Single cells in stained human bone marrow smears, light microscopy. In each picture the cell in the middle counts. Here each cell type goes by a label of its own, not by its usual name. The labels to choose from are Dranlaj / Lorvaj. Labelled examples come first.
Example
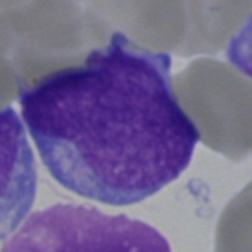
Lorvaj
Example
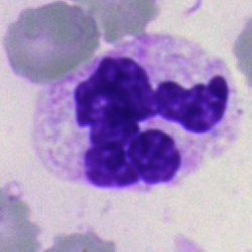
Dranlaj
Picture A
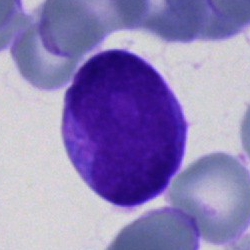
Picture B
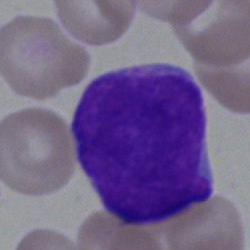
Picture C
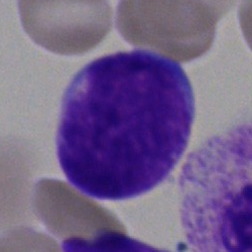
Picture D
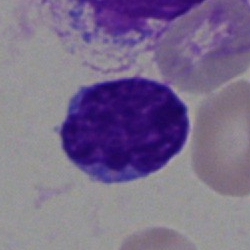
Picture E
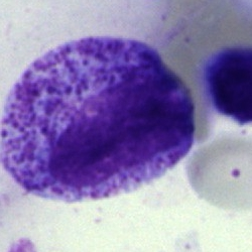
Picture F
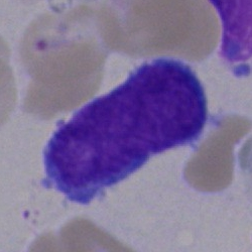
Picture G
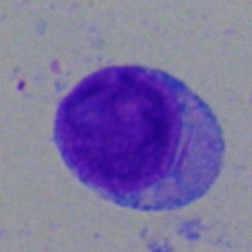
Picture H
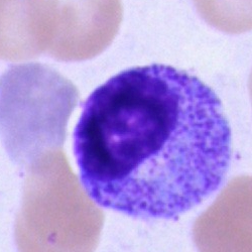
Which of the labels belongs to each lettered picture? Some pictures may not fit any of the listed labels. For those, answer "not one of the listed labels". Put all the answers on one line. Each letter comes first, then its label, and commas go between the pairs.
A Lorvaj, B Lorvaj, C Lorvaj, D Lorvaj, E not one of the listed labels, F Lorvaj, G Lorvaj, H not one of the listed labels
